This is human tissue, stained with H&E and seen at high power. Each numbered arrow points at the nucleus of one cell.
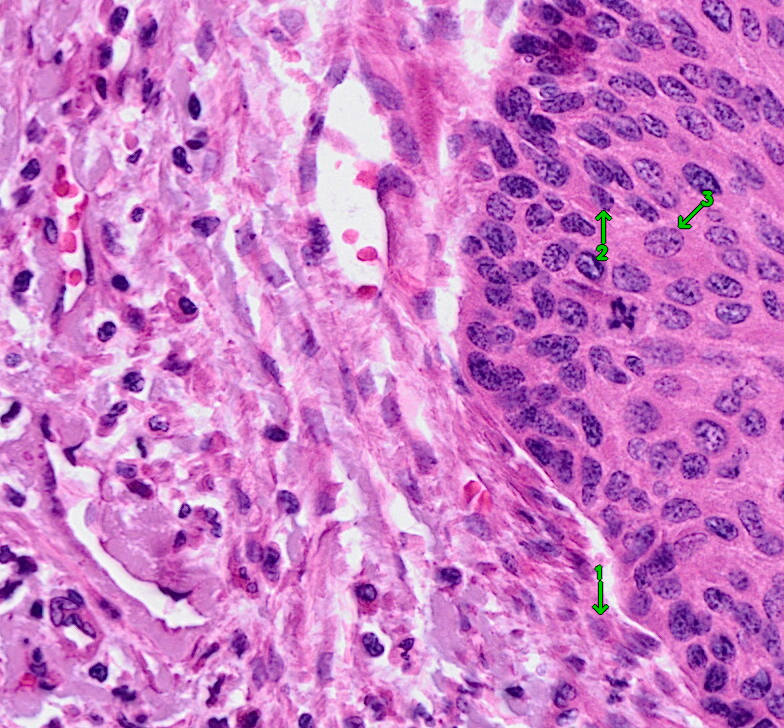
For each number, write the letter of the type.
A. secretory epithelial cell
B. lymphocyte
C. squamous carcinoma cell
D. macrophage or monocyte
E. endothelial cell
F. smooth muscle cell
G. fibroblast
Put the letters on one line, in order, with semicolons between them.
G; C; C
